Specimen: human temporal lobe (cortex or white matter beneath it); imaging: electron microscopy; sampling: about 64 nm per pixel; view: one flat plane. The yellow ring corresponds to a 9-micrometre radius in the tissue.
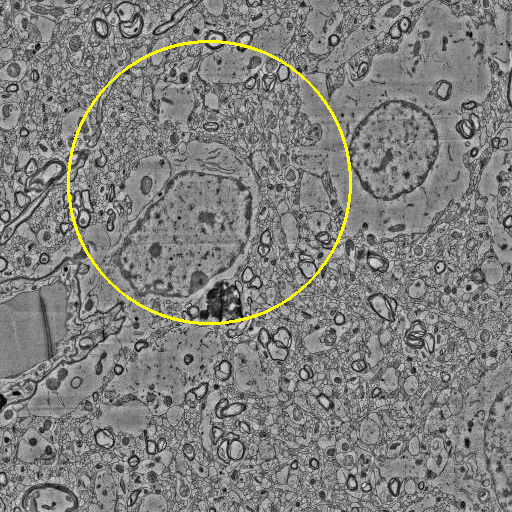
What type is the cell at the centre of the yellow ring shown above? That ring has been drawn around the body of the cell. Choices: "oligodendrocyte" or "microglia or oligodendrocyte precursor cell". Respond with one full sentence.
My answer is that a microglial cell or oligodendrocyte precursor cell lies at the centre of the yellow ring above.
